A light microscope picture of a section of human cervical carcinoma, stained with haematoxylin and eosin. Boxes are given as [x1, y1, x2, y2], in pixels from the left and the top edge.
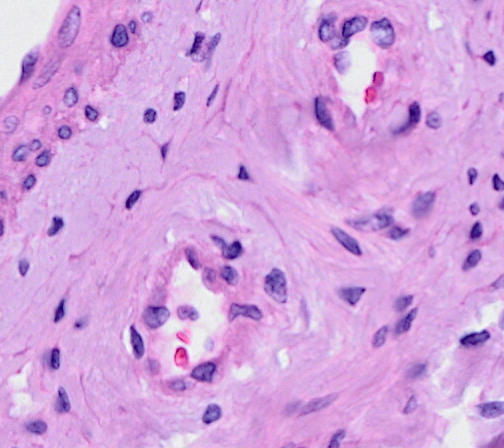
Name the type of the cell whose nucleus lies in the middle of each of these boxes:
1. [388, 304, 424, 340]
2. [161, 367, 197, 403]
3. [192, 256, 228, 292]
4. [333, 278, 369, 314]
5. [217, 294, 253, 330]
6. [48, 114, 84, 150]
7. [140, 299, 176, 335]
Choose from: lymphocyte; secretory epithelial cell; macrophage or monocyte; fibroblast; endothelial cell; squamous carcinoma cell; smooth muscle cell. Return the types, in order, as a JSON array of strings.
["fibroblast", "endothelial cell", "endothelial cell", "fibroblast", "endothelial cell", "smooth muscle cell", "endothelial cell"]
